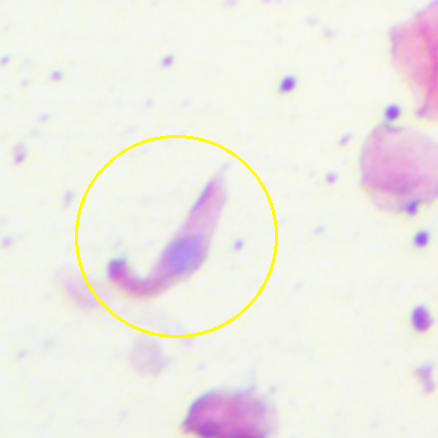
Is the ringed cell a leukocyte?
No, it is a nucleated epithelial cell.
